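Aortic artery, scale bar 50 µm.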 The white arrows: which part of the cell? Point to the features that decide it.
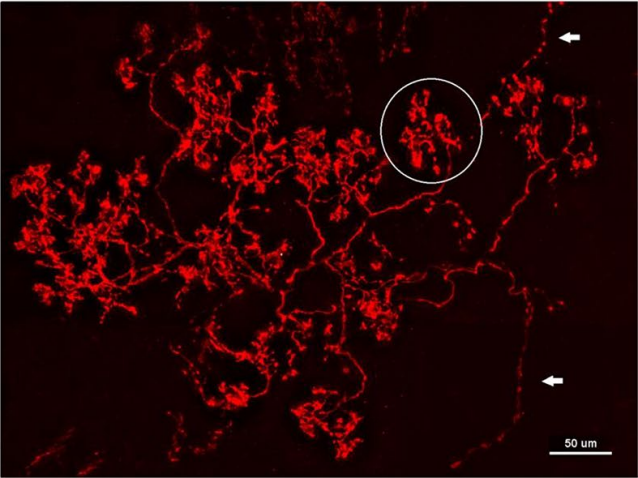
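The arrows point at thin, beaded red fibres at the right edge. The fibres run long distances and branch into the clustered endings. On this evidence: single parent axon.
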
